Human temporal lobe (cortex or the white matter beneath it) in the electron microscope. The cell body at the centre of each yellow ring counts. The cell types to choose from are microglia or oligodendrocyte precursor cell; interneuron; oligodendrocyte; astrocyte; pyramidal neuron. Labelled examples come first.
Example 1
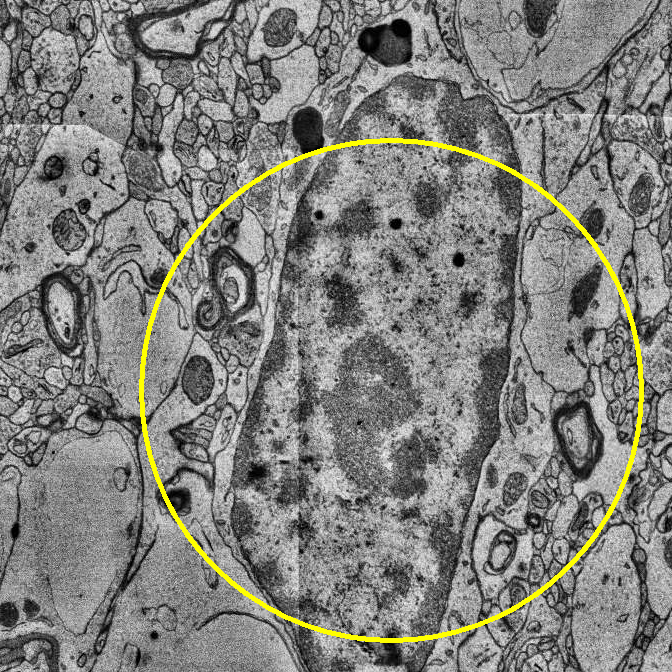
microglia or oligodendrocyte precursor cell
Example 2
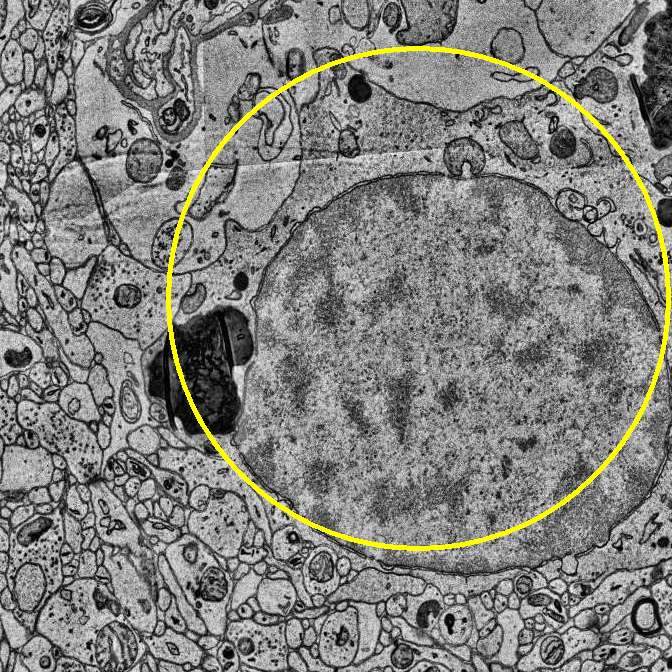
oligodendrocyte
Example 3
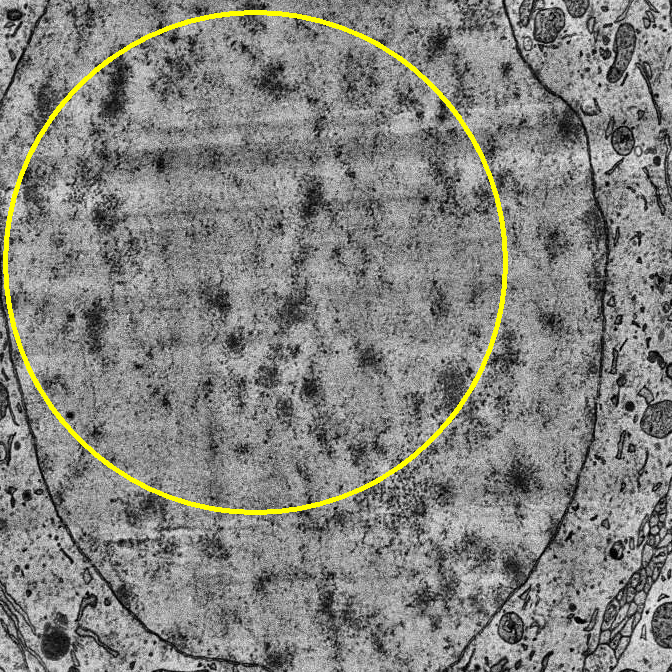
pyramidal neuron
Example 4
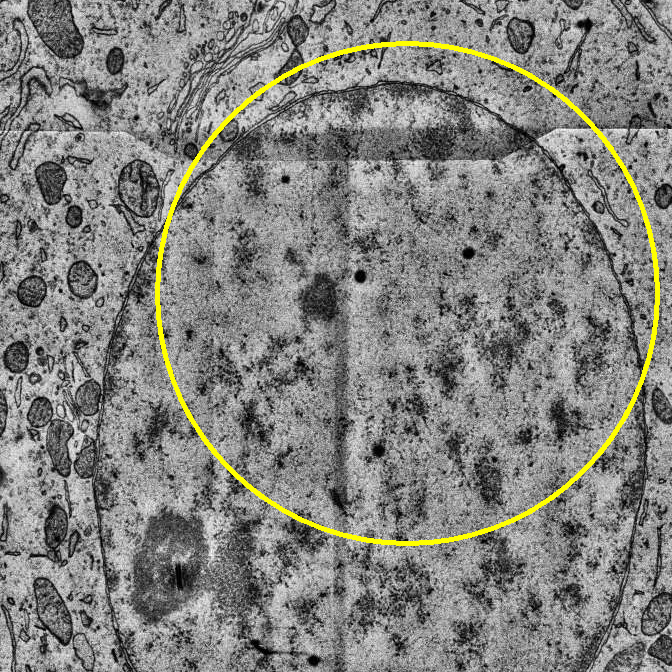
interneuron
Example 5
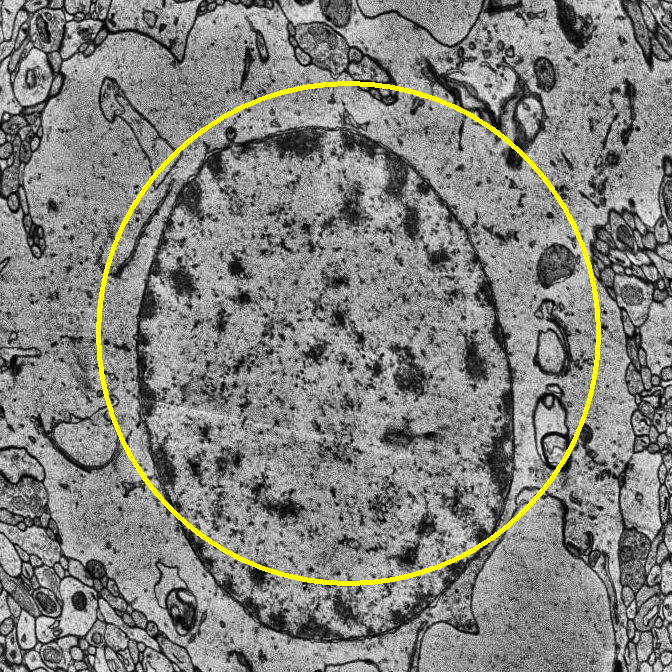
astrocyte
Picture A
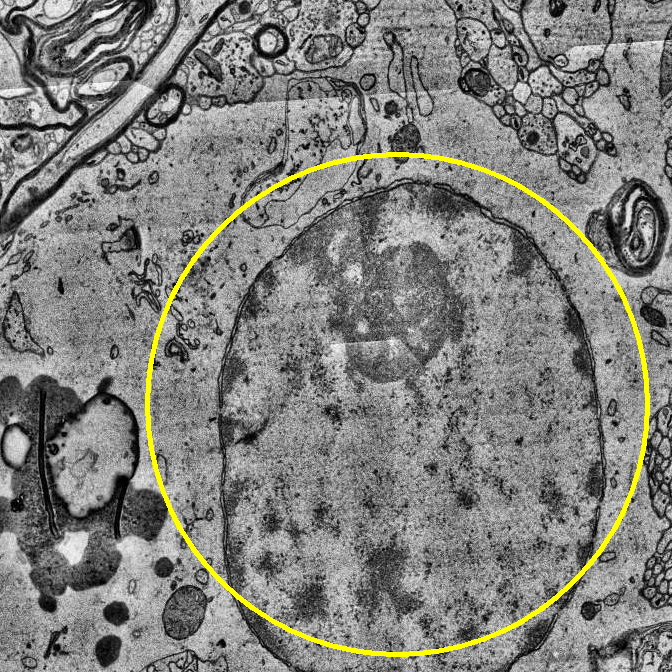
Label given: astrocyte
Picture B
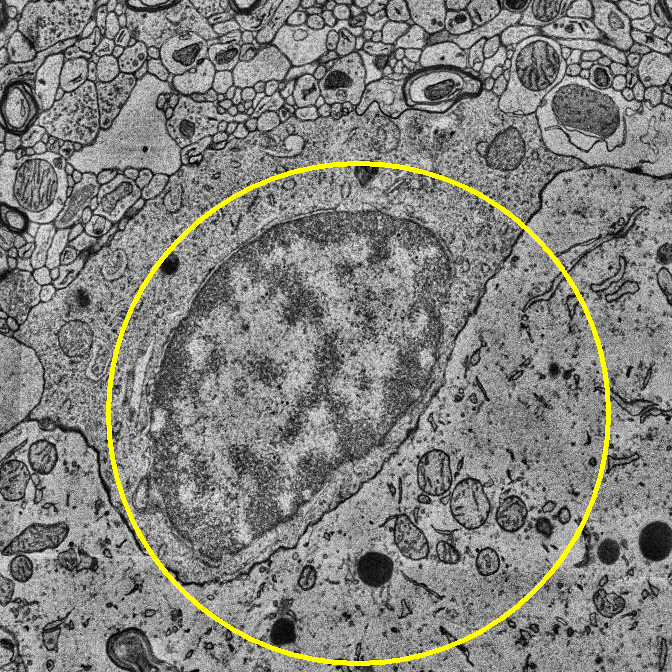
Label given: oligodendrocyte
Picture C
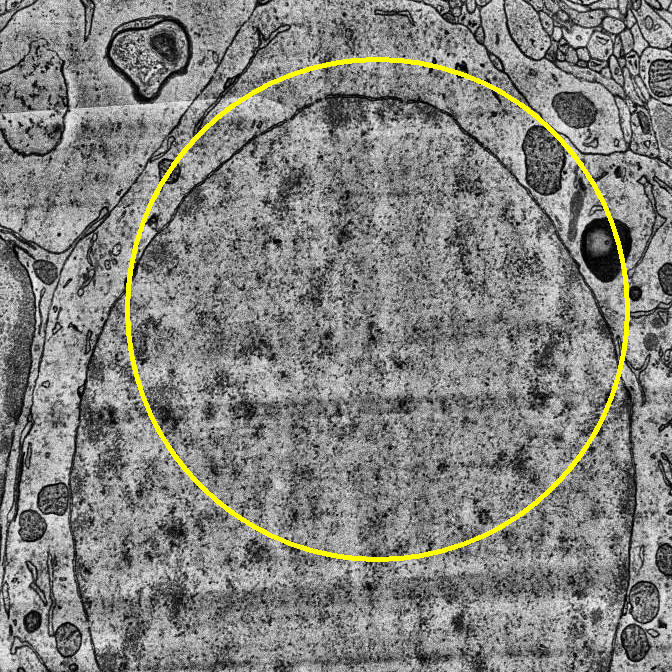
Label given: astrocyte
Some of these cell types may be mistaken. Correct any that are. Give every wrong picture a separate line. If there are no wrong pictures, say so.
Wrong: C (astrocyte); correct: pyramidal neuron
